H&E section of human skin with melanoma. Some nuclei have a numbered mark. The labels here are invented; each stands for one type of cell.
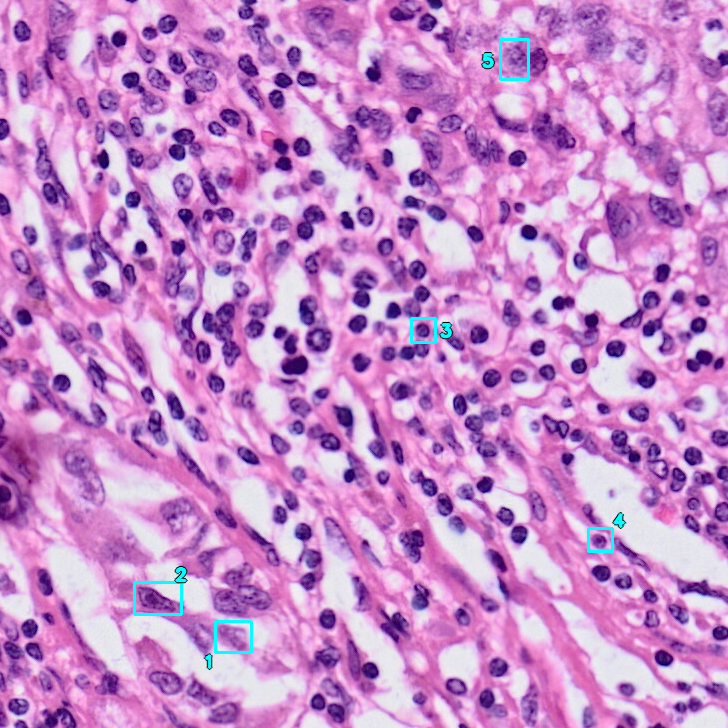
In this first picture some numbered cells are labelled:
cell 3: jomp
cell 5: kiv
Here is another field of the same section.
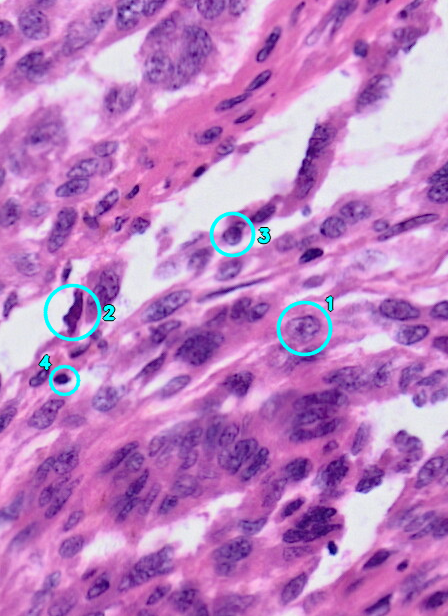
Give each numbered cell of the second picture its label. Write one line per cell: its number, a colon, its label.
1: kiv
2: kiv
3: kiv
4: jomp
